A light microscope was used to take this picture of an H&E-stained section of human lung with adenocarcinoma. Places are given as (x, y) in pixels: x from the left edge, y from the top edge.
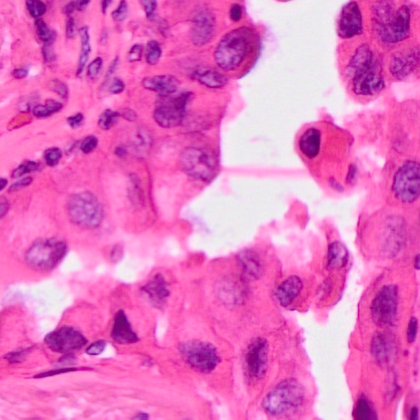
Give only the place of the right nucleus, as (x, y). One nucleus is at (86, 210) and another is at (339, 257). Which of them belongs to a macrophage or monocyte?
(339, 257)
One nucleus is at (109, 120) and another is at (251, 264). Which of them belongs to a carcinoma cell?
(251, 264)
